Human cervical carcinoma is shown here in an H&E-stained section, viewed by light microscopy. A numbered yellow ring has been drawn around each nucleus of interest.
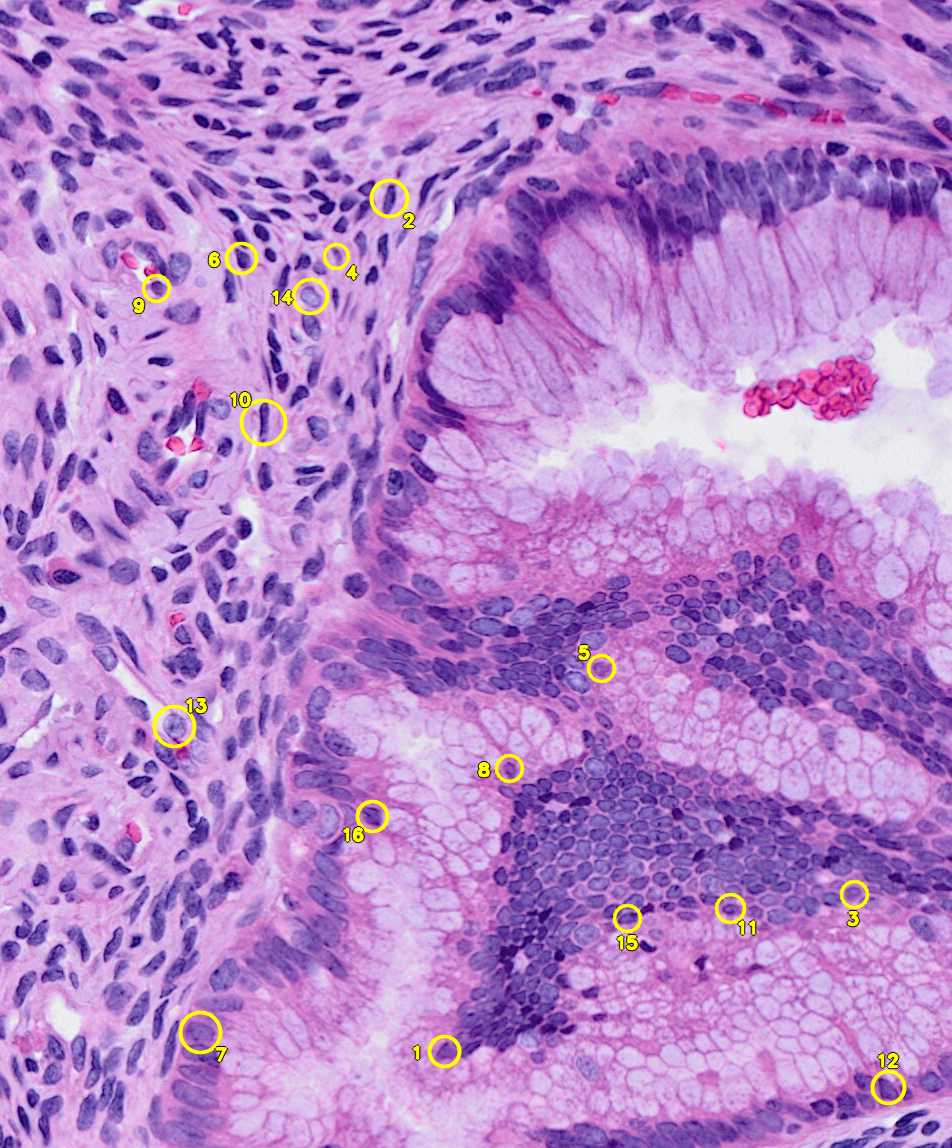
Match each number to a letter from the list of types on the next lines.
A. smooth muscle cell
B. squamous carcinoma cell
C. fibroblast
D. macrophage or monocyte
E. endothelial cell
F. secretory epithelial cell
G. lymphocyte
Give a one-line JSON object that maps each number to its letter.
{"1": "F", "2": "C", "3": "F", "4": "C", "5": "F", "6": "C", "7": "F", "8": "F", "9": "E", "10": "C", "11": "F", "12": "F", "13": "E", "14": "E", "15": "F", "16": "F"}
